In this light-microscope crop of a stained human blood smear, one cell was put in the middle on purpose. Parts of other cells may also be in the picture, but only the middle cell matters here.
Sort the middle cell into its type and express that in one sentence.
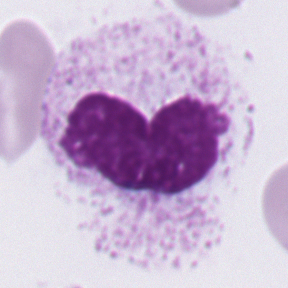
What sits at the centre of this crop is a band neutrophil.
